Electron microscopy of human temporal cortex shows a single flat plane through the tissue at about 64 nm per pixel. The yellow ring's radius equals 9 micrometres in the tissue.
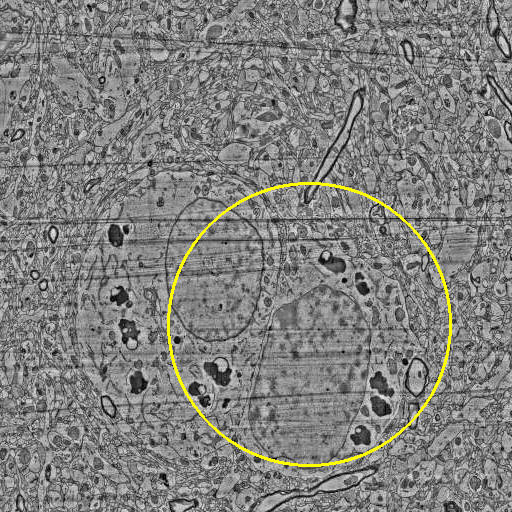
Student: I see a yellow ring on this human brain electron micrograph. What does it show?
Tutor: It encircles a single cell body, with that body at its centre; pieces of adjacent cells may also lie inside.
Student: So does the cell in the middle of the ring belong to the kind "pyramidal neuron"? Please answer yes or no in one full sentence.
No, that cell at the centre of the ring is one of another kind.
